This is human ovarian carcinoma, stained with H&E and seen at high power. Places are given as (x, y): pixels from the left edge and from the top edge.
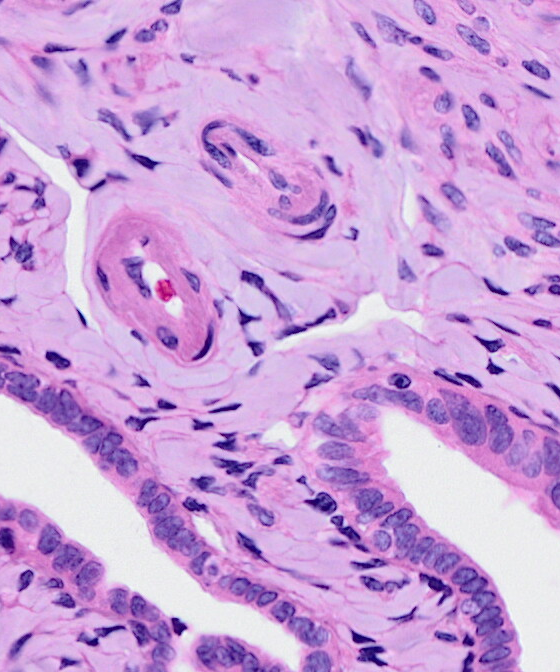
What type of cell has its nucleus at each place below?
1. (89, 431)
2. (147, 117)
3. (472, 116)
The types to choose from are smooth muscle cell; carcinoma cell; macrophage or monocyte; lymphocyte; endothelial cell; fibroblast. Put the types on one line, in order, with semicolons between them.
carcinoma cell; fibroblast; smooth muscle cell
